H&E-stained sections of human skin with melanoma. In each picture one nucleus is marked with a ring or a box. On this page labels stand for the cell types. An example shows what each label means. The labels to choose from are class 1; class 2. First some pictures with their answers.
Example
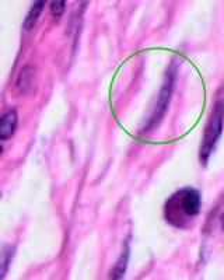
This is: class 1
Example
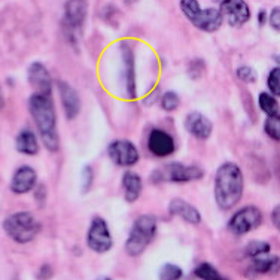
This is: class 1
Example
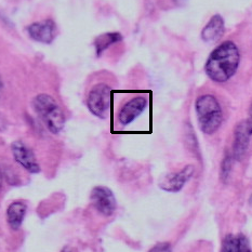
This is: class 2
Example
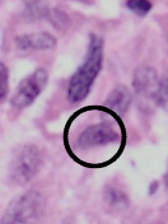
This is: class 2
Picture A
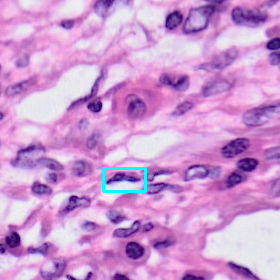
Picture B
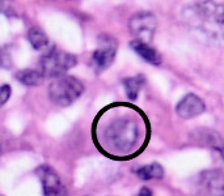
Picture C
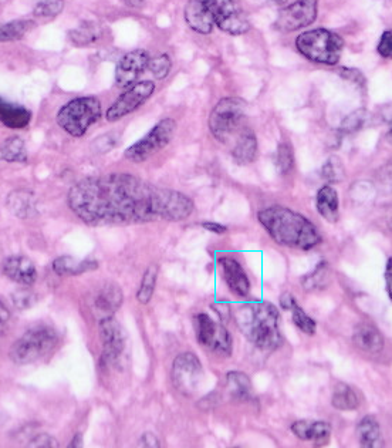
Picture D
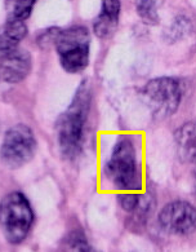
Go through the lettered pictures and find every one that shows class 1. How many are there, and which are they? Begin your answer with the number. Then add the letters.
1: A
